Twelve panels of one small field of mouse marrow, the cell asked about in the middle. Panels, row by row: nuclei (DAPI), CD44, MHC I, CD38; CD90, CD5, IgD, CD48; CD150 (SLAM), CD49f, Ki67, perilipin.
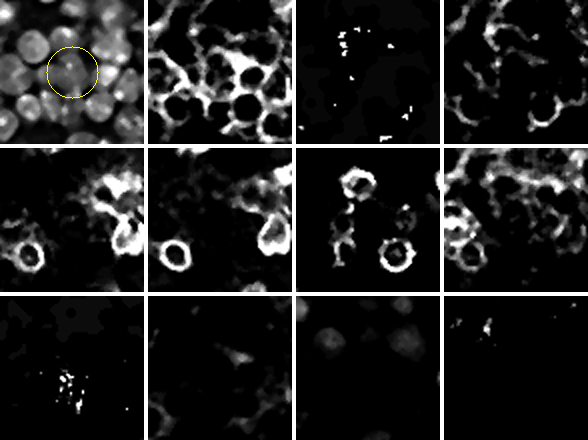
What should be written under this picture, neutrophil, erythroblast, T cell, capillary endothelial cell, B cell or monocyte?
neutrophil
